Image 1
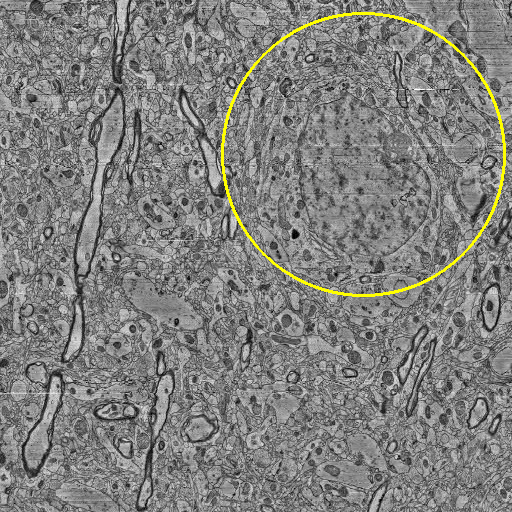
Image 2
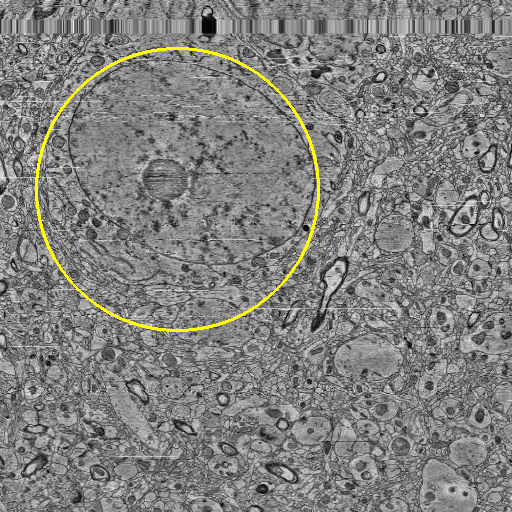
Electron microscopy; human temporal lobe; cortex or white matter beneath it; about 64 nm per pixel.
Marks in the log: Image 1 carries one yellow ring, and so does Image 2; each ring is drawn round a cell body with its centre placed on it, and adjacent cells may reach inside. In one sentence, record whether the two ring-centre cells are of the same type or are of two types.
The two cells at the ring centres, one in each image, are of two types.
